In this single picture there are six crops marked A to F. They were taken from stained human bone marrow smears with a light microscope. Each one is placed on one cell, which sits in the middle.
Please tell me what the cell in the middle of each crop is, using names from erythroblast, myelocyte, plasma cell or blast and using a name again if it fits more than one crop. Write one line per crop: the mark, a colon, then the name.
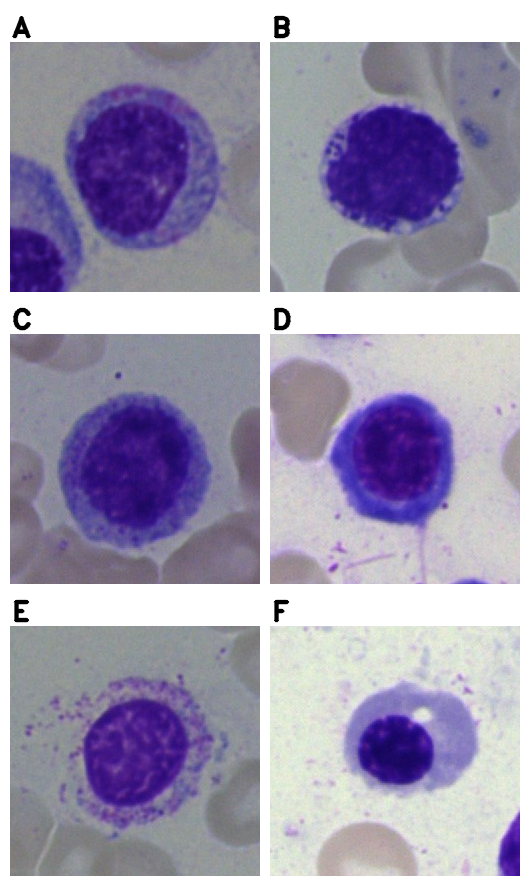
A: myelocyte
B: myelocyte
C: myelocyte
D: erythroblast
E: myelocyte
F: erythroblast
